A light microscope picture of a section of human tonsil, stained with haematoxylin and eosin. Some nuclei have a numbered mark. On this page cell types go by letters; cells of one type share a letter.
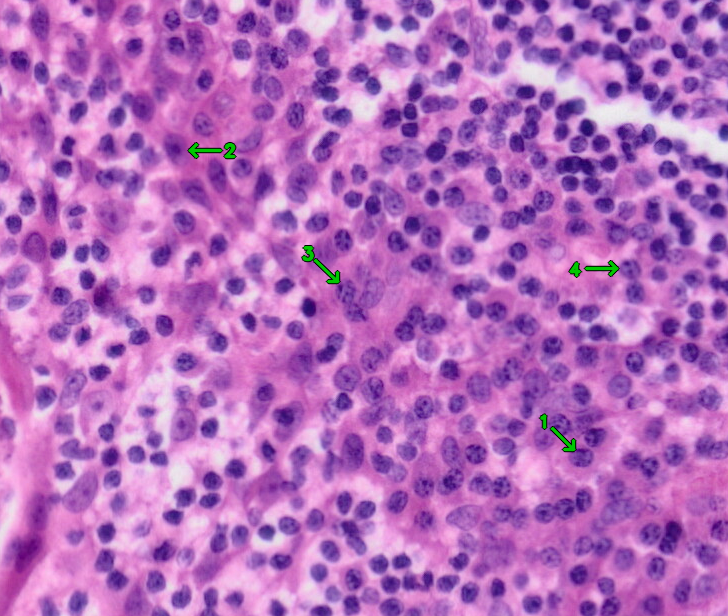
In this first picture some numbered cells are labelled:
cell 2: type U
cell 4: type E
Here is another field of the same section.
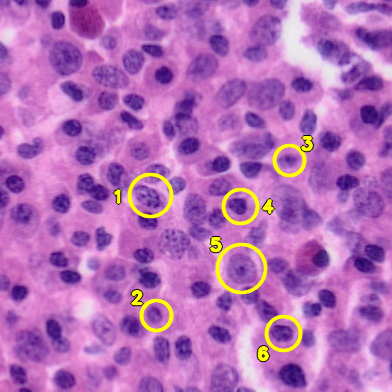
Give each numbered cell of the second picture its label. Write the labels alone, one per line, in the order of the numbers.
type E
type E
type U
type E
type U
type E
